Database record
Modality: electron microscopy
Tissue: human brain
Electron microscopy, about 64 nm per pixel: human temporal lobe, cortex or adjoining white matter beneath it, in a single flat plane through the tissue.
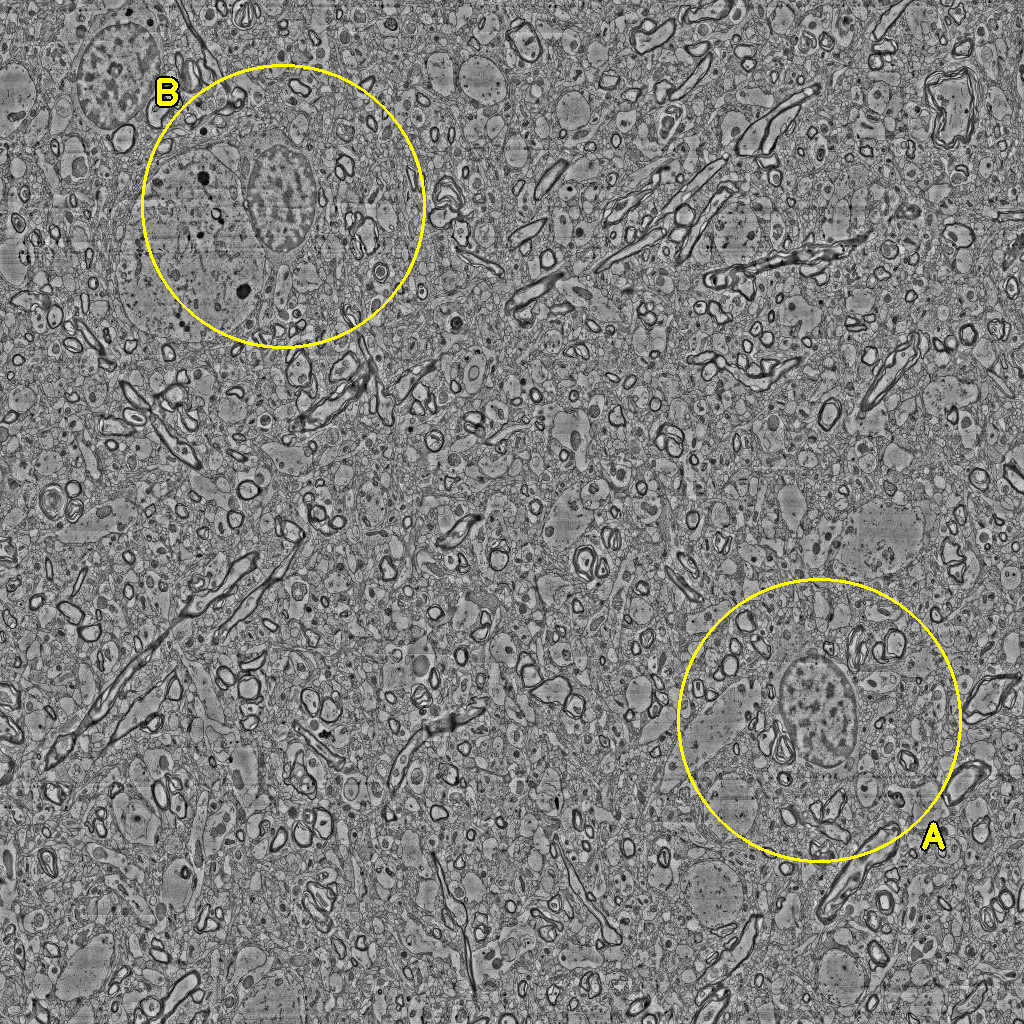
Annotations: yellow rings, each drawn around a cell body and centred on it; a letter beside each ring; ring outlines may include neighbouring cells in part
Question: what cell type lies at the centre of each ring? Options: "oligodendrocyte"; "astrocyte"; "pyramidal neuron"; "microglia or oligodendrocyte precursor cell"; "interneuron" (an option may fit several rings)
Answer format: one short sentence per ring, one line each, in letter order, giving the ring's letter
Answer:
Ring A corresponds to an oligodendrocyte.
Ring B corresponds to an oligodendrocyte.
